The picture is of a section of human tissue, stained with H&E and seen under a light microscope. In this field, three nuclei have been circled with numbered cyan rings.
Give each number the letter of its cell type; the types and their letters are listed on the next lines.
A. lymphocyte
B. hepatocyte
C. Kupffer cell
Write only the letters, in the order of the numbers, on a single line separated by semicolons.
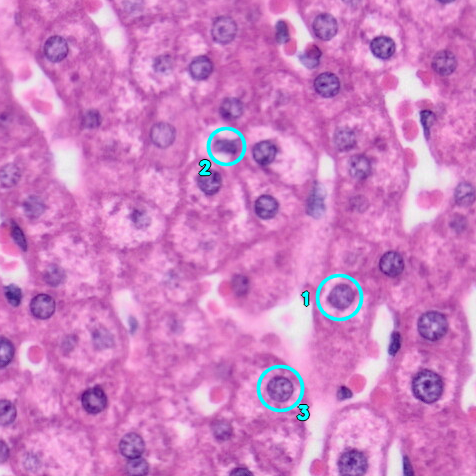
B; C; B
